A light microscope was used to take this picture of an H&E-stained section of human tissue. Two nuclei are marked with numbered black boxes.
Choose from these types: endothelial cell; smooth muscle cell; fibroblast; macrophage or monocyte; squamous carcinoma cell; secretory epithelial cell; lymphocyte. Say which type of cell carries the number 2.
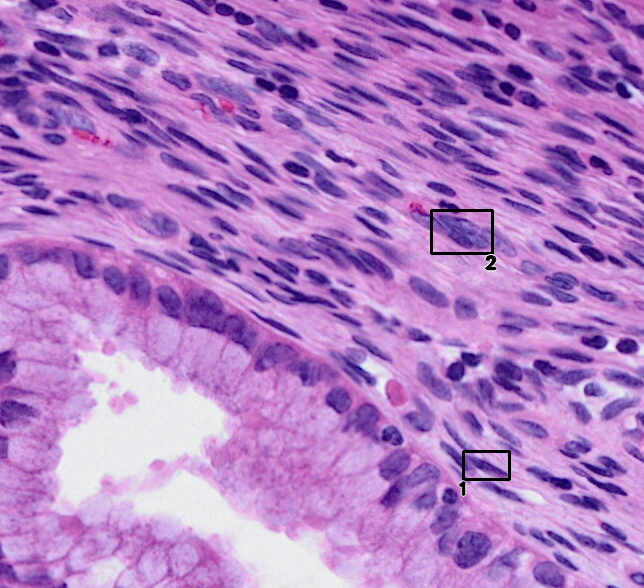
endothelial cell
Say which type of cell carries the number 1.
fibroblast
